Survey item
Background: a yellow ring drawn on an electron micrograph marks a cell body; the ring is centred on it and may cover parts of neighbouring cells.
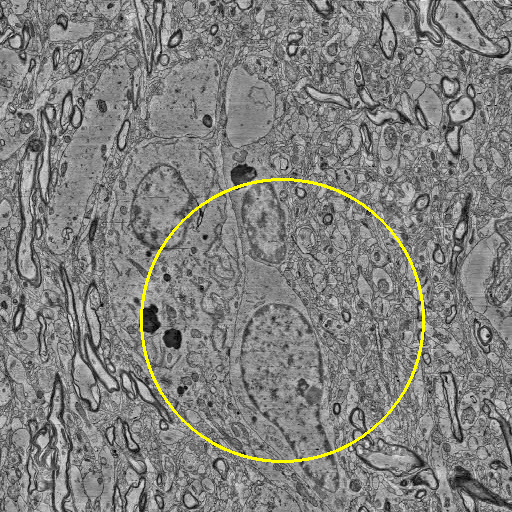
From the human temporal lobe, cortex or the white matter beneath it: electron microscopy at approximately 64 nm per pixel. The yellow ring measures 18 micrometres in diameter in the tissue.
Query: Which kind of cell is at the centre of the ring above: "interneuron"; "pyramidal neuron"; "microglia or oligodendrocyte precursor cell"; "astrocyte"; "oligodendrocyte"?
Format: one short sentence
The cell in the middle of the ring is a microglial cell or oligodendrocyte precursor cell.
